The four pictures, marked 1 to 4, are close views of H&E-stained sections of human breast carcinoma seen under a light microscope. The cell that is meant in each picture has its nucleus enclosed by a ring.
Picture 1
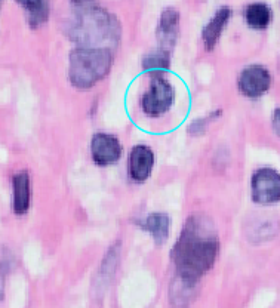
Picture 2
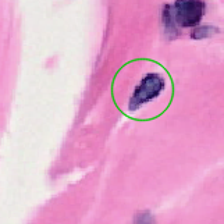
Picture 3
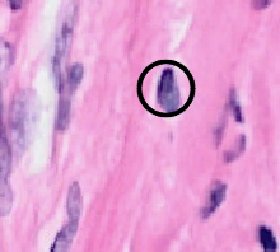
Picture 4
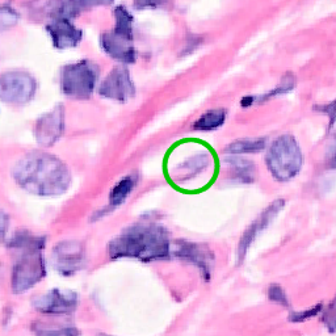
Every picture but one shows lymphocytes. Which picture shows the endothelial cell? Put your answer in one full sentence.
The cell in picture 4 is the endothelial cell.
